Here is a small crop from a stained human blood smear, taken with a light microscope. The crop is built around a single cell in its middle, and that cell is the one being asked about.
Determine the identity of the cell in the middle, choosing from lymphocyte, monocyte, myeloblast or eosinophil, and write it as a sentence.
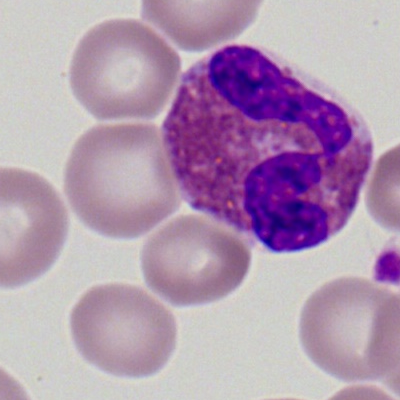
The middle cell in this particular crop is an eosinophil.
